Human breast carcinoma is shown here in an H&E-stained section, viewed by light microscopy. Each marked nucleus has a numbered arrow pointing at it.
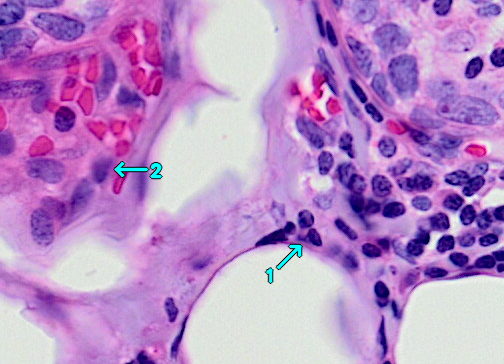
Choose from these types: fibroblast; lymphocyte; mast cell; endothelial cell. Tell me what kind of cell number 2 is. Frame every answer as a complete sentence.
The cell assigned the number 2 is an endothelial cell.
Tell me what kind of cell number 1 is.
The cell that goes by number 1 is a lymphocyte.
